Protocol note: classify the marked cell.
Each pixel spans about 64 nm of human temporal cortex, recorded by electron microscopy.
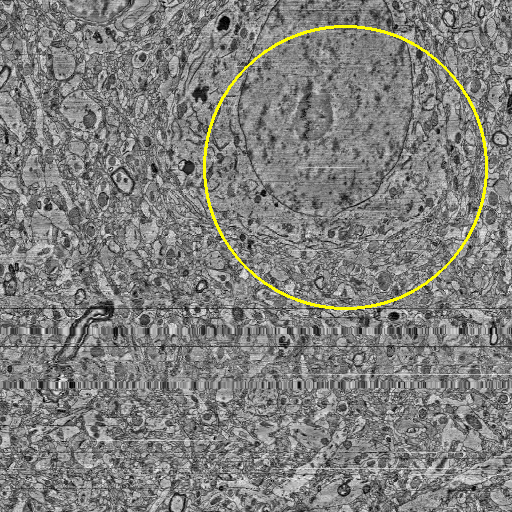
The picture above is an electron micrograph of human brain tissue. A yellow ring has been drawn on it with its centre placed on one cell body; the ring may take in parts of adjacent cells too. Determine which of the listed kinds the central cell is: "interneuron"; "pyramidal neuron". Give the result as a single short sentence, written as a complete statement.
The central cell is a pyramidal neuron.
